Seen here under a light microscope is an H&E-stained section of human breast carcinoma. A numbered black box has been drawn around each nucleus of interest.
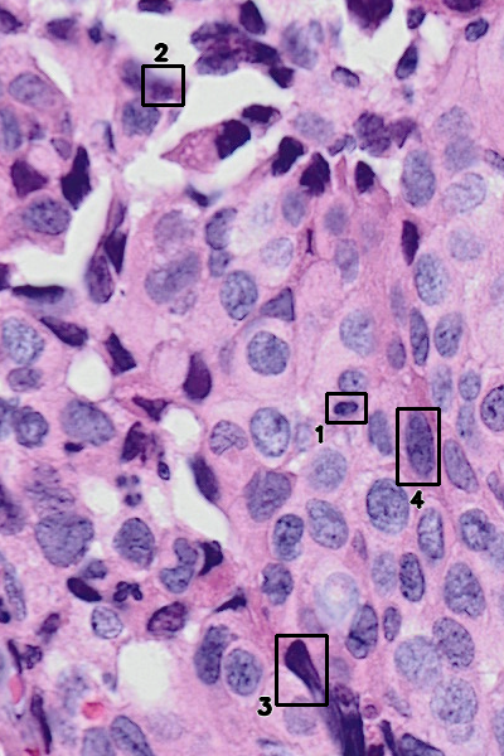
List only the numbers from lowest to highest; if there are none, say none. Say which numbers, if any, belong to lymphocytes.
1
